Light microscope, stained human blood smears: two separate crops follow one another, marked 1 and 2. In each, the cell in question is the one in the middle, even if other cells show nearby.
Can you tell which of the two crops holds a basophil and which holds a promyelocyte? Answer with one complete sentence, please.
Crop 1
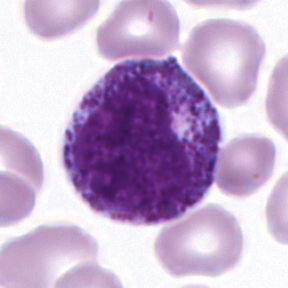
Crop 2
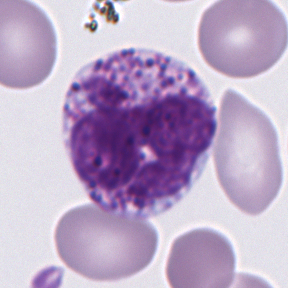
Crop 1 is a promyelocyte, and crop 2 is a basophil.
